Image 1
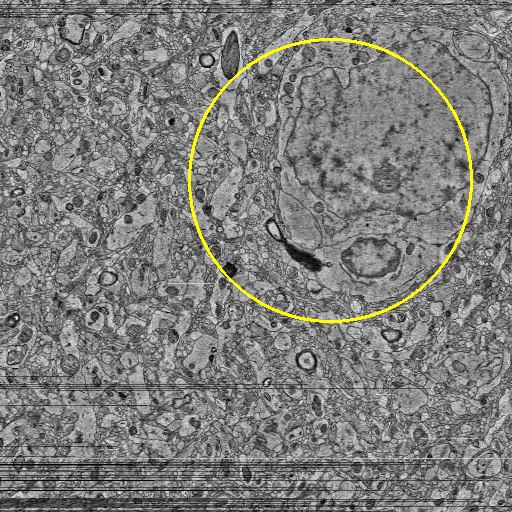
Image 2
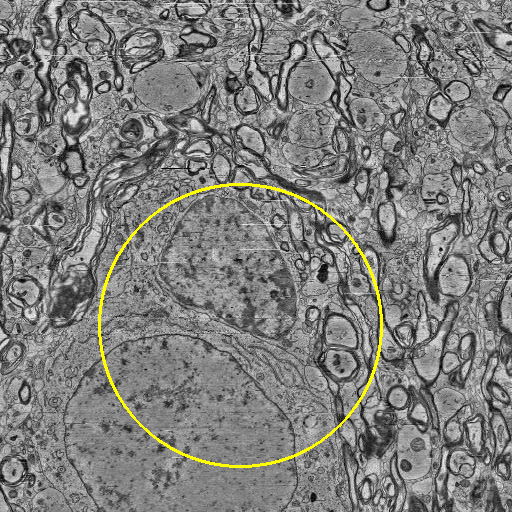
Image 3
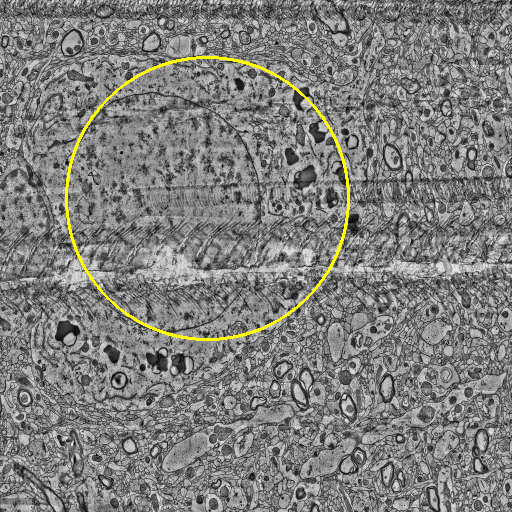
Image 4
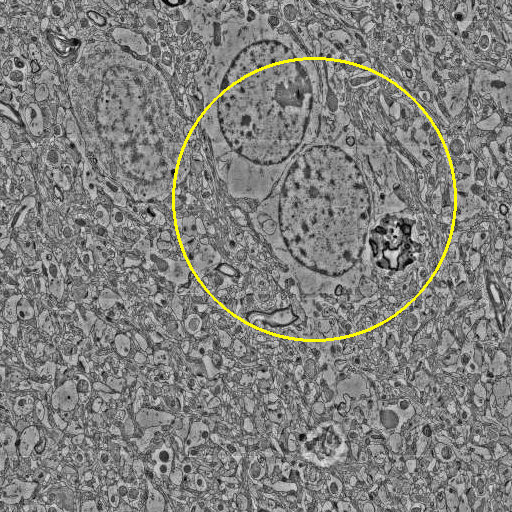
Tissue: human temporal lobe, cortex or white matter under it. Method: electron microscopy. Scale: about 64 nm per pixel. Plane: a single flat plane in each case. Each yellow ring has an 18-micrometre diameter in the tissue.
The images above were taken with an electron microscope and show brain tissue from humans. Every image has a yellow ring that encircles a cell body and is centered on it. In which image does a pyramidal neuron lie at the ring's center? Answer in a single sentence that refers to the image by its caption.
In Image 3, the cell at the center of the yellow ring is the correct match.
